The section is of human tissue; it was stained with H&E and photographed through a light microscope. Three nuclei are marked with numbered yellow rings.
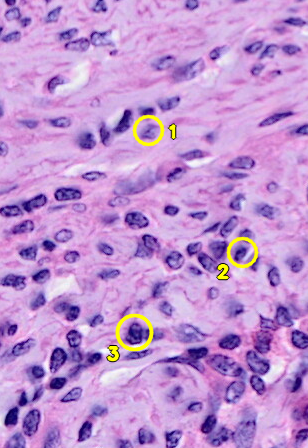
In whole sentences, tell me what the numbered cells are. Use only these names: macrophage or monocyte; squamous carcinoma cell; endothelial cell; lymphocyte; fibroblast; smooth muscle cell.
Cell 1 is a fibroblast, cell 2 is a lymphocyte and cell 3 is a lymphocyte.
